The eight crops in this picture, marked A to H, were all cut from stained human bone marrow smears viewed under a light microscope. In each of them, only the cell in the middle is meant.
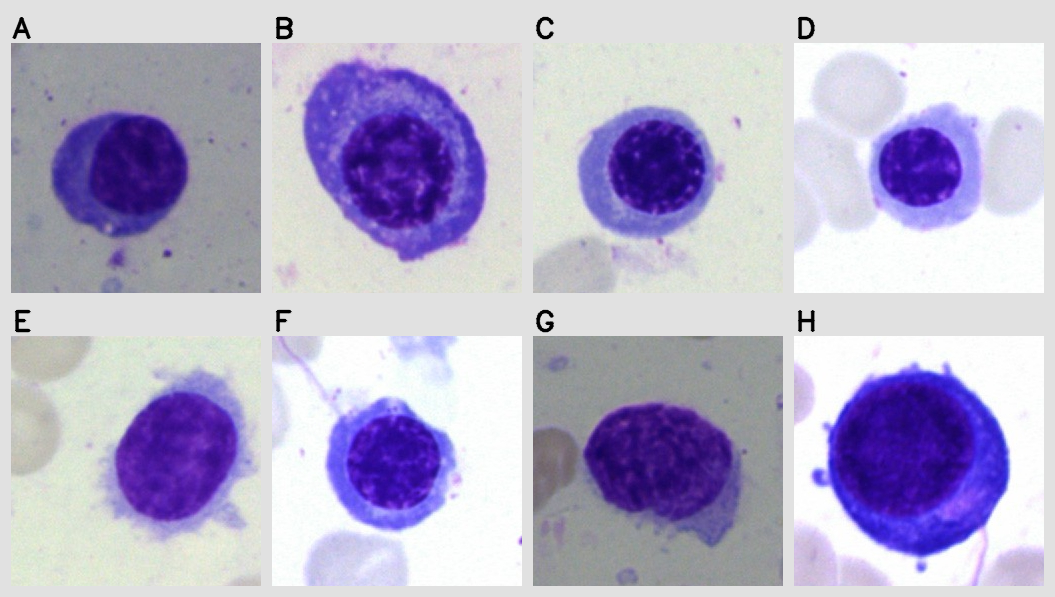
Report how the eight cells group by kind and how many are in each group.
plasma cell: 3
erythroblast: 3
hairy cell: 2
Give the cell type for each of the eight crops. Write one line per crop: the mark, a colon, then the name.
A: plasma cell
B: plasma cell
C: erythroblast
D: erythroblast
E: hairy cell
F: erythroblast
G: hairy cell
H: plasma cell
